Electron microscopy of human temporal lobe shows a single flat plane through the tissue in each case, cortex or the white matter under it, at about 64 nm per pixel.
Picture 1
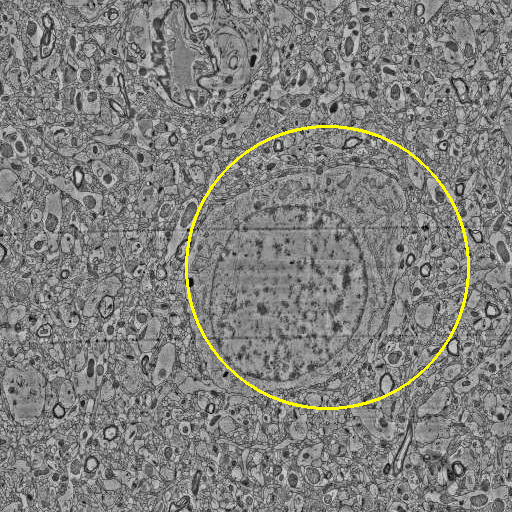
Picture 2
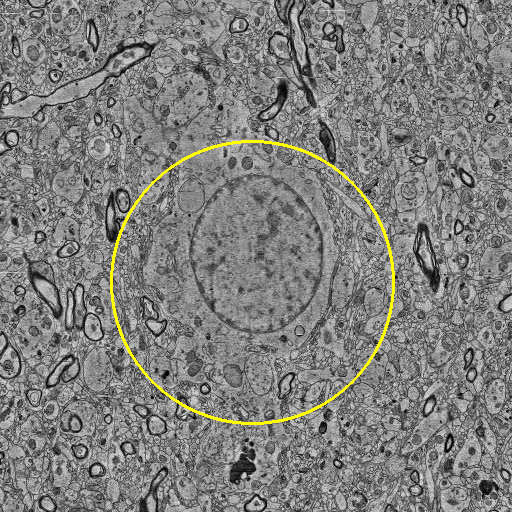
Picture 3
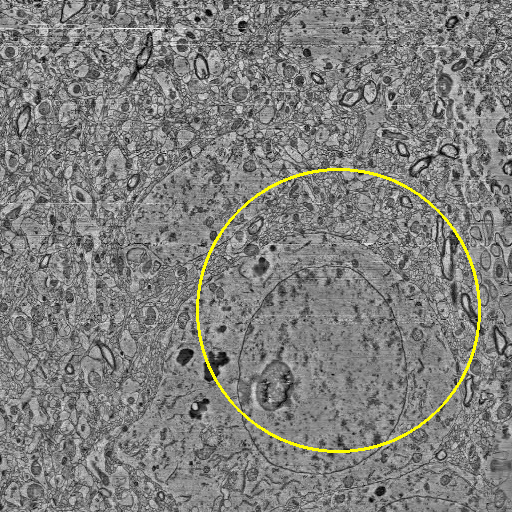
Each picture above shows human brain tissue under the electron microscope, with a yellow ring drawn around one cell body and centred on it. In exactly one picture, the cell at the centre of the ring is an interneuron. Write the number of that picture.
1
